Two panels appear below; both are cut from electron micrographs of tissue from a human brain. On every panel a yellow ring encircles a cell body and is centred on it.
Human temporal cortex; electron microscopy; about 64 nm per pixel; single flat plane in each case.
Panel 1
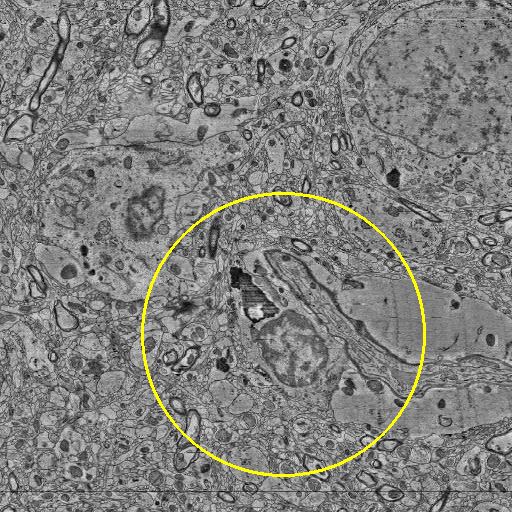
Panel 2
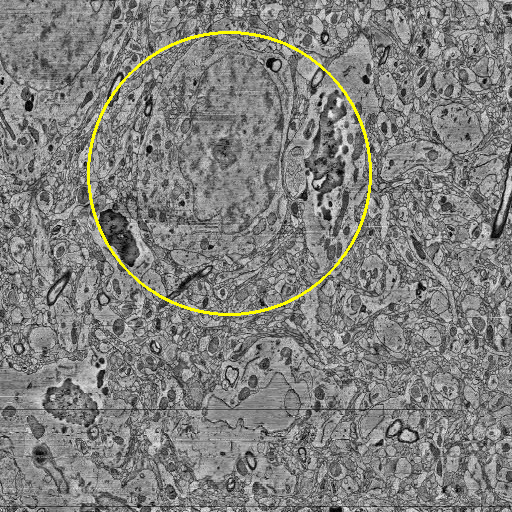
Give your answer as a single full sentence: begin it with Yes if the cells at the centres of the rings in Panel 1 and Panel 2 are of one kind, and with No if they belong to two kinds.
No, the cells in the middle of the rings in Panels 1 and 2 are of two kinds.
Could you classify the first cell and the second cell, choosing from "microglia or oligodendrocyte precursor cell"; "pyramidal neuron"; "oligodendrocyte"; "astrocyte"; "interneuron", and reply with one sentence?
The second cell is an interneuron, while the first is an oligodendrocyte.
